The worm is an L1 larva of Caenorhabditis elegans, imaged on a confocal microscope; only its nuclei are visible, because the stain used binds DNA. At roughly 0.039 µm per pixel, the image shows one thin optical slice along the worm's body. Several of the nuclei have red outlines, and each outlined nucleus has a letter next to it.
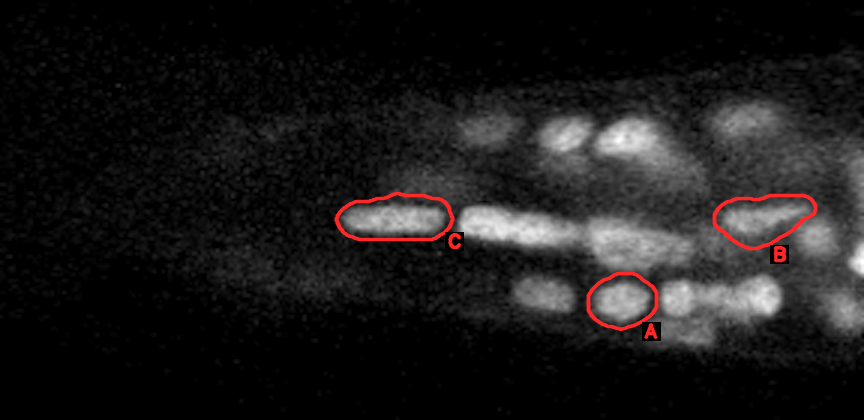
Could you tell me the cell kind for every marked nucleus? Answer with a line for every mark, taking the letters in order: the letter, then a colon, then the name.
A: hypodermal cell (hyp)
B: pharyngeal muscle cell
C: pharyngeal epithelial cell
